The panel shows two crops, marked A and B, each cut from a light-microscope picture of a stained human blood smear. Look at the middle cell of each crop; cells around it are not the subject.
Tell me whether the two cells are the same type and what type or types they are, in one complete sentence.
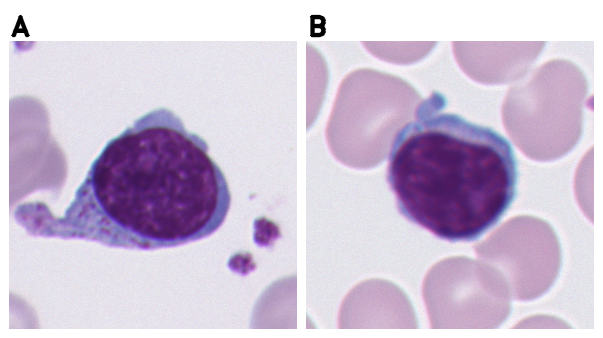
Yes, in the middle of both crops lie typical lymphocytes.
